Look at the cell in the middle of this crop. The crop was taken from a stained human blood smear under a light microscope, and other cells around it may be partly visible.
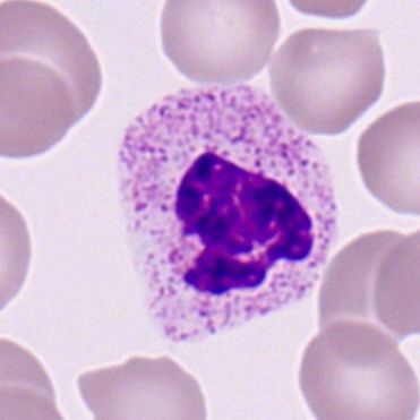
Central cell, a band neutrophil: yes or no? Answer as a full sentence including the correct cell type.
No, the cell at the centre is a segmented neutrophil, which rules out a band neutrophil.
